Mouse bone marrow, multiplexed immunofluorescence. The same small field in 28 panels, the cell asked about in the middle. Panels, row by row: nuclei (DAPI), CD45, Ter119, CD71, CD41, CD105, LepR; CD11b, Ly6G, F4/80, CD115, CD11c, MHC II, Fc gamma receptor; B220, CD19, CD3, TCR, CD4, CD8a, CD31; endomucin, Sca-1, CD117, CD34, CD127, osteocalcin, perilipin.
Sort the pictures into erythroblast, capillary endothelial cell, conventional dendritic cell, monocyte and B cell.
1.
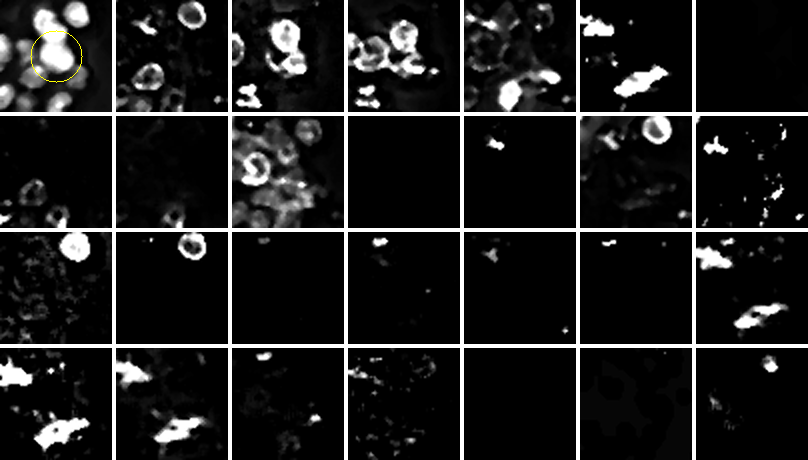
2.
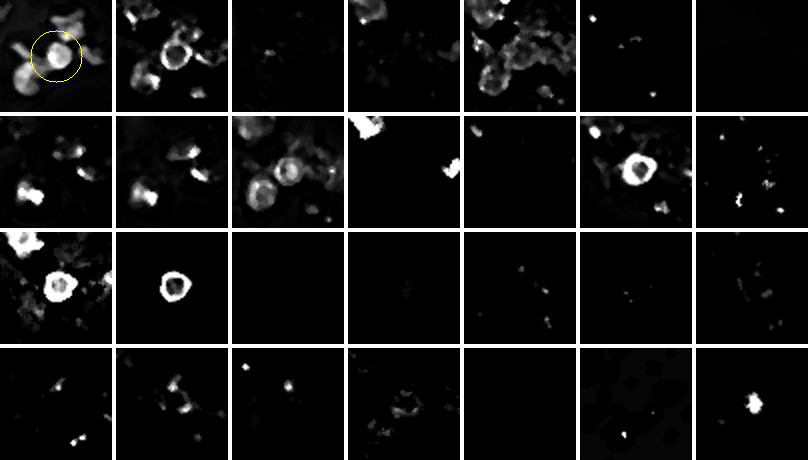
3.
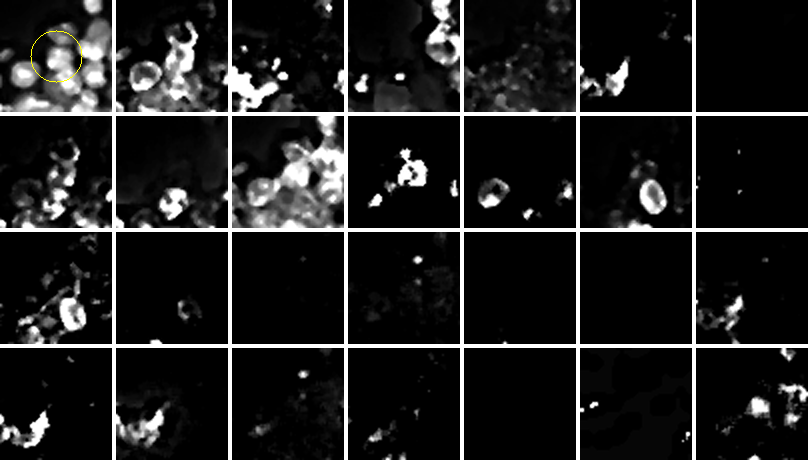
Erythroblasts: 1
B cells: 2
Monocytes: 3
